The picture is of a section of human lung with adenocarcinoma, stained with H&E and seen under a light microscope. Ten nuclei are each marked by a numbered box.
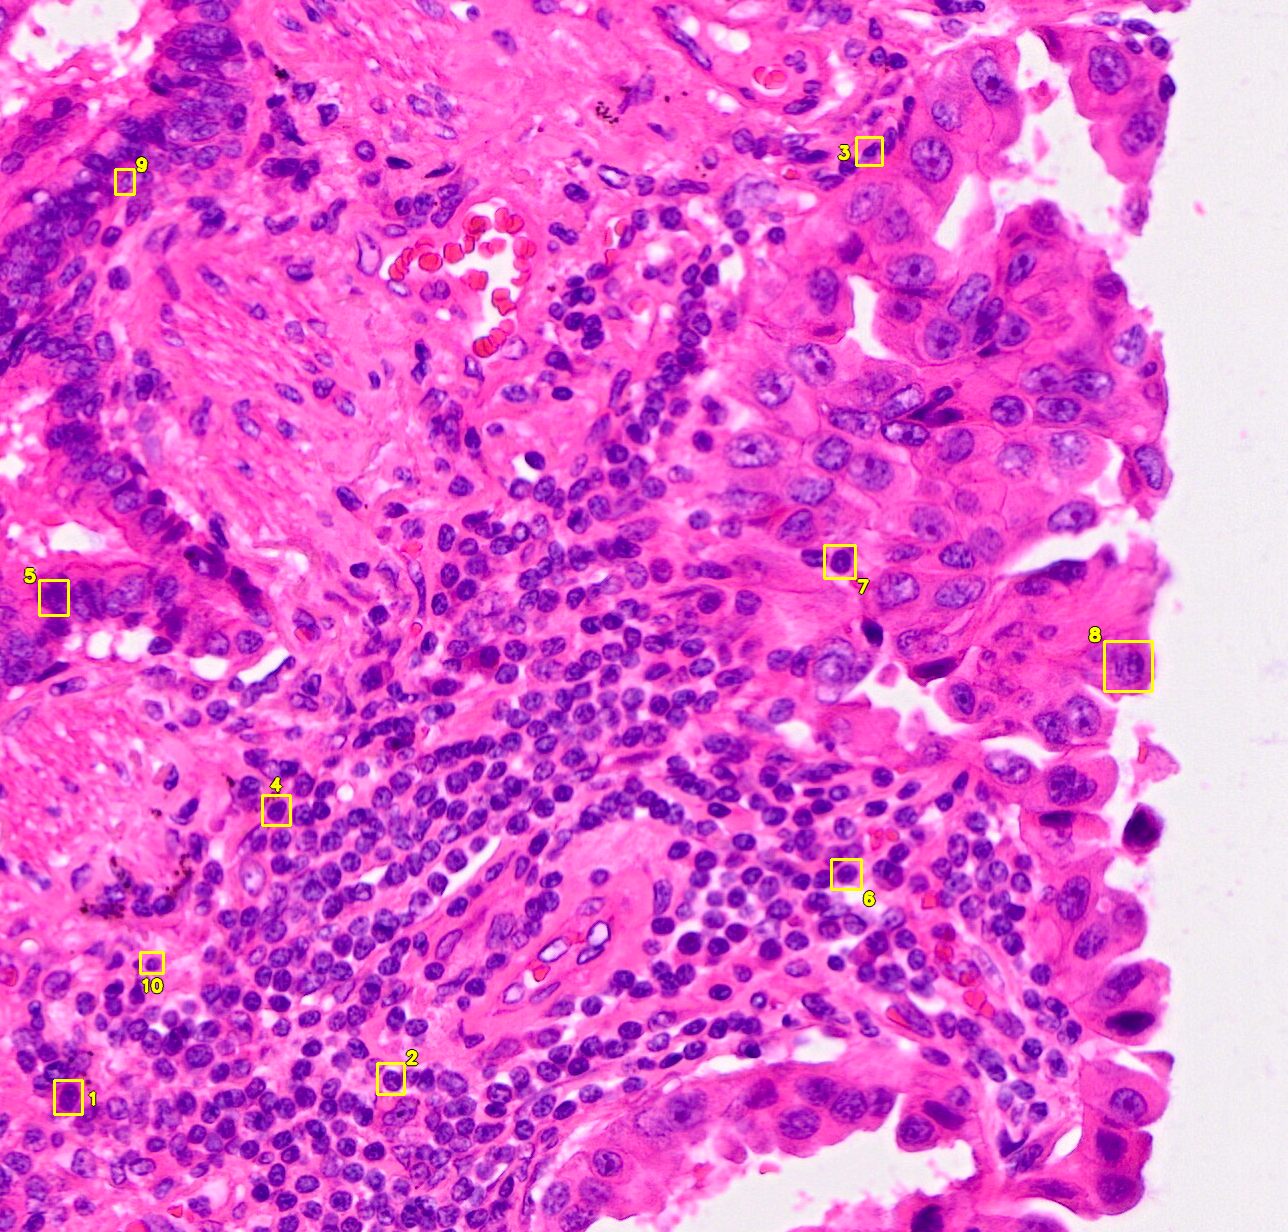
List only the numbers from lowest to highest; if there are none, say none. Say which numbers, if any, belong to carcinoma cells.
8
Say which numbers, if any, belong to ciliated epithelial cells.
5, 9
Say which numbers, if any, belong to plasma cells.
1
